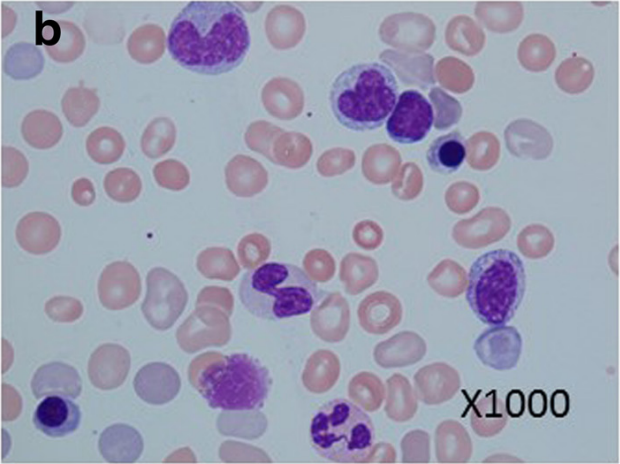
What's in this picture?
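Peripheral blood smear with red cells of varied size and shape, many with central pallor, and scattered white cells. Neutrophils with lobed purple nuclei and pale cytoplasm lie beside small round cells with dense dark nuclei and a thin rim of pale blue cytoplasm.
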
